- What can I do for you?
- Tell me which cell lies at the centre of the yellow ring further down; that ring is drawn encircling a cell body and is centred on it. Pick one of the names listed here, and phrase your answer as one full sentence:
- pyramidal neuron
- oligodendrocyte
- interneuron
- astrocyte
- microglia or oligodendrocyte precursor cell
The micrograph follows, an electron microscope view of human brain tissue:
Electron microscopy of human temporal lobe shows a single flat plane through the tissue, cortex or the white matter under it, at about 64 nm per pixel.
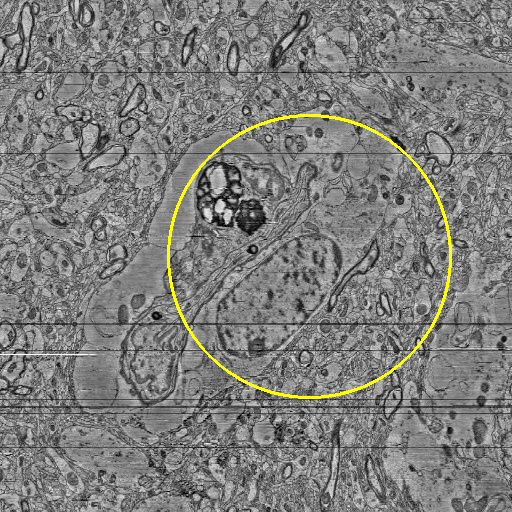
The cell whose body lies at the centre of the yellow ring is a microglial cell or oligodendrocyte precursor cell.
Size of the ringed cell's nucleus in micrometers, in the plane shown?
Roughly 10 by 5 micrometers, clearly longer than it is wide in this plane.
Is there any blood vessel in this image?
Yes.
